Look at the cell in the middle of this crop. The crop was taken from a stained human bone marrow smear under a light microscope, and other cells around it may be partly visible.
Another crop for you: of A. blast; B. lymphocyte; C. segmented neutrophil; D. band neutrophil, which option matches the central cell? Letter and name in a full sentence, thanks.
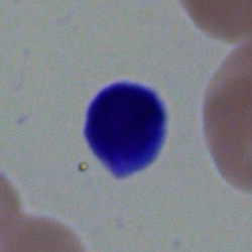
Option B gets it right: the cell in the middle is a lymphocyte.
